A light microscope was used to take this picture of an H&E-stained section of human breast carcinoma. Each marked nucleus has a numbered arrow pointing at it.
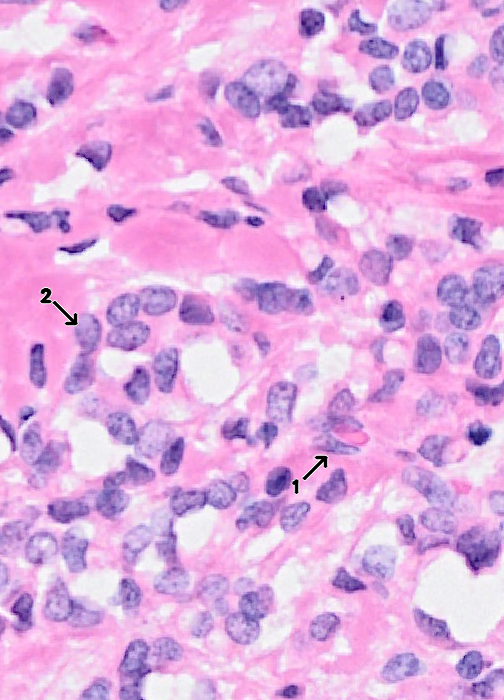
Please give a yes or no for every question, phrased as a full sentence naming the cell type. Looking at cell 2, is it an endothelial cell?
No, calling cell 2 an endothelial cell is a mistake; it is a carcinoma cell.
